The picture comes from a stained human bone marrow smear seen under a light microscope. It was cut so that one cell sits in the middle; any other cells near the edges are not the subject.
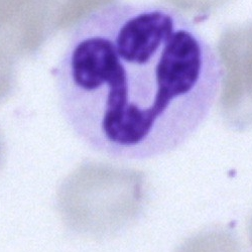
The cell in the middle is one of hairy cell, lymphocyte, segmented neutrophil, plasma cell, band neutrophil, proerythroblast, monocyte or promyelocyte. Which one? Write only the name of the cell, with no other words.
segmented neutrophil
